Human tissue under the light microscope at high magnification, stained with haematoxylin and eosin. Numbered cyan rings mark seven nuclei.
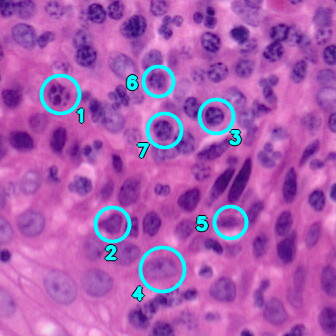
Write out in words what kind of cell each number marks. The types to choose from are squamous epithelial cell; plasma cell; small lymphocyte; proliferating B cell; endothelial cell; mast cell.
Cells 1, 3, 6 and 7 are plasma cells. Cells 2, 4 and 5 are squamous epithelial cells.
